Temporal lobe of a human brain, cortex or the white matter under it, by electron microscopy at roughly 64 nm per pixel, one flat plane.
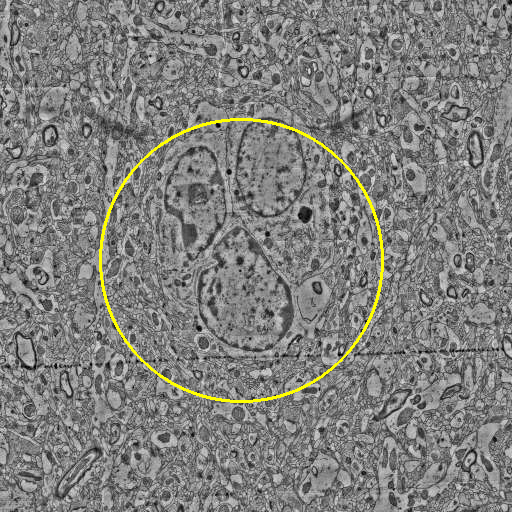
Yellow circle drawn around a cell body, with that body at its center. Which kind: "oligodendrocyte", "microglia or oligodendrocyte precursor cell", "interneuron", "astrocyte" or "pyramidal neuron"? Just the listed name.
microglia or oligodendrocyte precursor cell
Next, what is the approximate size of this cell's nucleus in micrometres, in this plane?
Approximately 8 micrometres long and 6 micrometres wide, in this plane.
